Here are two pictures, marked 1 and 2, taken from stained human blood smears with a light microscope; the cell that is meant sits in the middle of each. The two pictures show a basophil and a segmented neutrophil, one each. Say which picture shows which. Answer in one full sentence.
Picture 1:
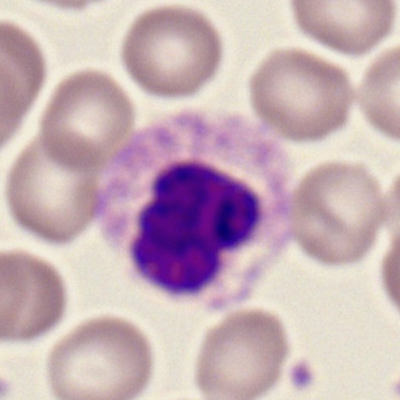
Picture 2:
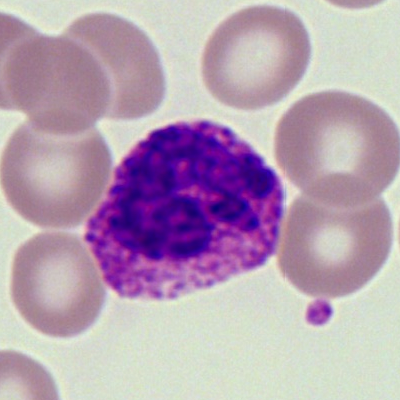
Picture 2 shows a basophil, while picture 1 shows a segmented neutrophil.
